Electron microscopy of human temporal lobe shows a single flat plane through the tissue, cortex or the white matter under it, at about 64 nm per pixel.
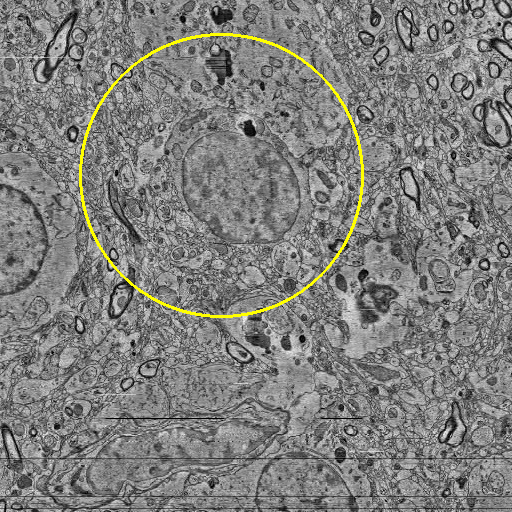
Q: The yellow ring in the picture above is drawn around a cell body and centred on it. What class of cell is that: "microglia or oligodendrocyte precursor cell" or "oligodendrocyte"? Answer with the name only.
oligodendrocyte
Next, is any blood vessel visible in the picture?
Yes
